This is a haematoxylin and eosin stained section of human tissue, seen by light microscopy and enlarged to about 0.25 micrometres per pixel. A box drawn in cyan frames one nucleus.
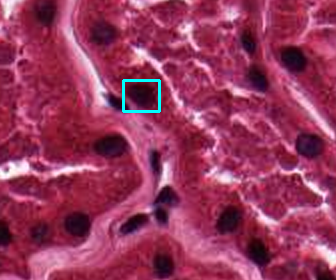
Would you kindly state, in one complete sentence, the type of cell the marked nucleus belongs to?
It is a proximal tubule cell whose nucleus is marked.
